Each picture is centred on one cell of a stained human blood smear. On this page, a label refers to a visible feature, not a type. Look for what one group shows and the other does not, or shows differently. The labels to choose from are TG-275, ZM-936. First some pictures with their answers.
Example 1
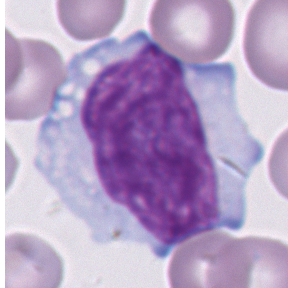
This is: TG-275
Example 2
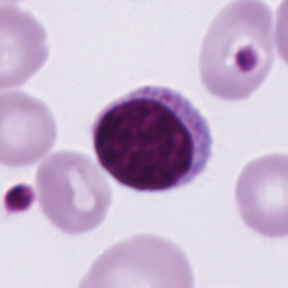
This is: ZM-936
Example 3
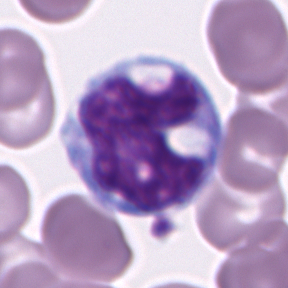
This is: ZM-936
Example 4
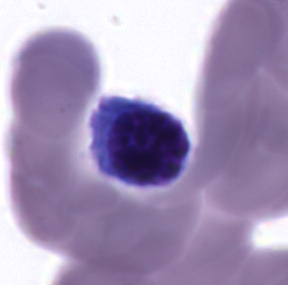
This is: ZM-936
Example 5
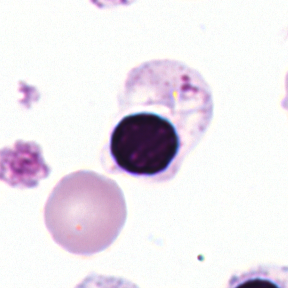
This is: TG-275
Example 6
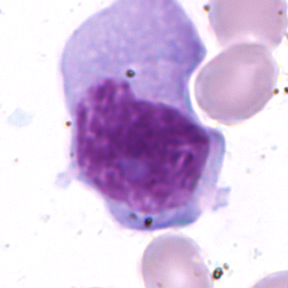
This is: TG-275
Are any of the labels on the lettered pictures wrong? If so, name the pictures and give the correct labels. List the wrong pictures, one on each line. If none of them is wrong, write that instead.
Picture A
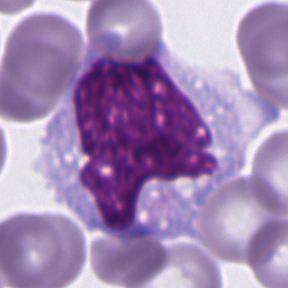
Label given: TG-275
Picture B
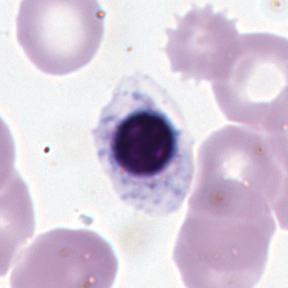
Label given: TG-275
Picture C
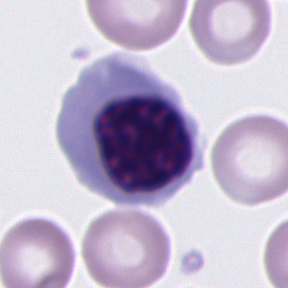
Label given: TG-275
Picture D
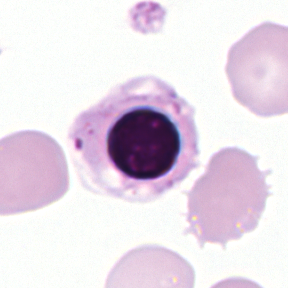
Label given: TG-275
All correct.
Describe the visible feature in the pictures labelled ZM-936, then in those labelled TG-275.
ZM-936, scant cytoplasm; TG-275, abundant cytoplasm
